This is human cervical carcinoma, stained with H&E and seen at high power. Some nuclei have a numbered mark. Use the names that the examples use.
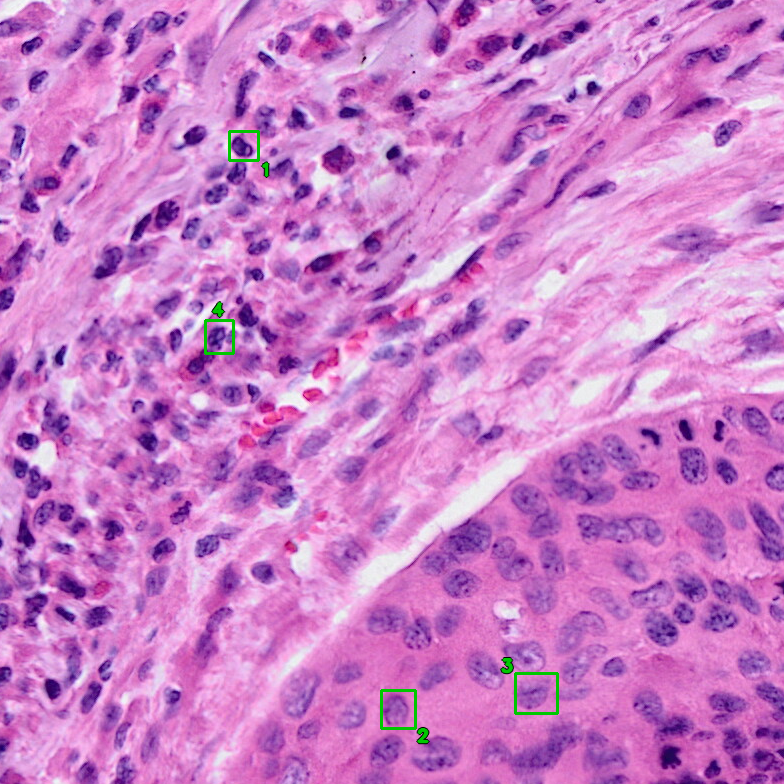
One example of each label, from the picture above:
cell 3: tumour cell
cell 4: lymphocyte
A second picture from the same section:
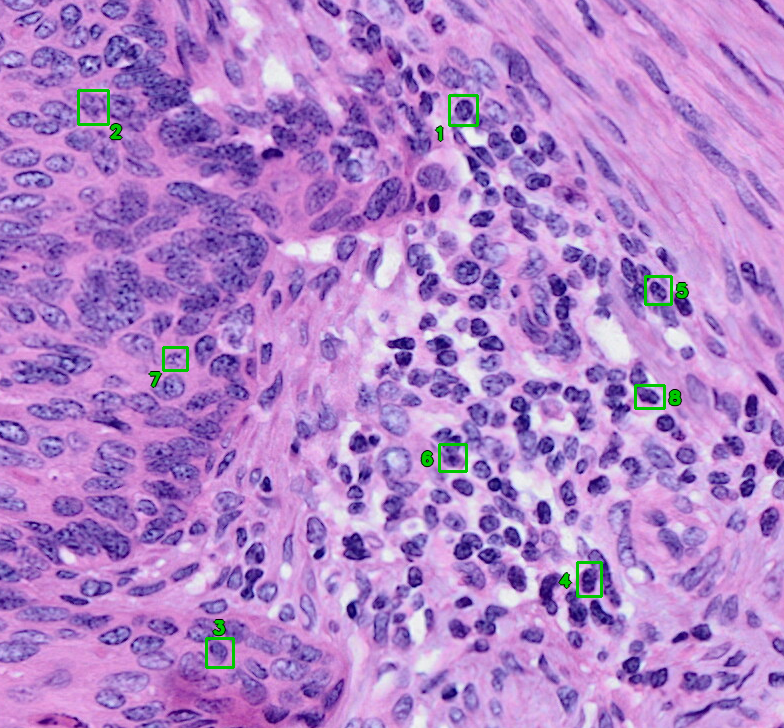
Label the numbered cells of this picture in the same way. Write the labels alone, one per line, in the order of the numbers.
lymphocyte
tumour cell
tumour cell
lymphocyte
lymphocyte
lymphocyte
tumour cell
lymphocyte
